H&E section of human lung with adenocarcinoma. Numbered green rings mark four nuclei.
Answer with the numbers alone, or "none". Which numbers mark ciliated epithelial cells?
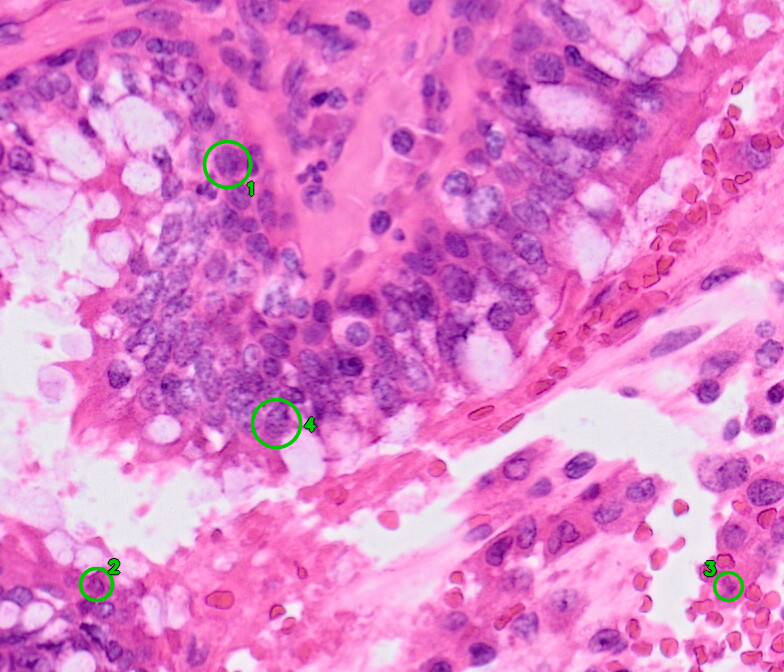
1, 2, 4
